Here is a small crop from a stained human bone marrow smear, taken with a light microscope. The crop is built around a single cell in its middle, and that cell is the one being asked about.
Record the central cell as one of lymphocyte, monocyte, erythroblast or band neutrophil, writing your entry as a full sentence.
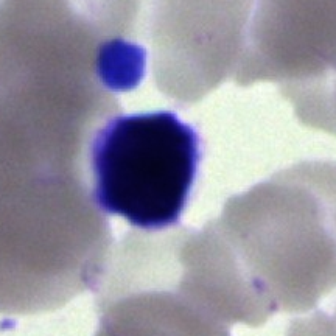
Present in the middle of the crop is a lymphocyte.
